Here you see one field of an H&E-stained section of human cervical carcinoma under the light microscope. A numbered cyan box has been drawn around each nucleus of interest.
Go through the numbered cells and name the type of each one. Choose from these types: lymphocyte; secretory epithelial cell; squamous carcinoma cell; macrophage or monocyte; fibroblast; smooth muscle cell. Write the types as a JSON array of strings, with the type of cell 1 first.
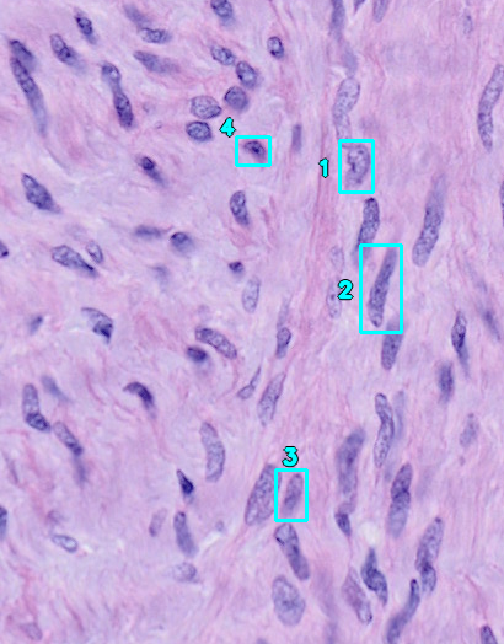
["smooth muscle cell", "fibroblast", "smooth muscle cell", "smooth muscle cell"]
